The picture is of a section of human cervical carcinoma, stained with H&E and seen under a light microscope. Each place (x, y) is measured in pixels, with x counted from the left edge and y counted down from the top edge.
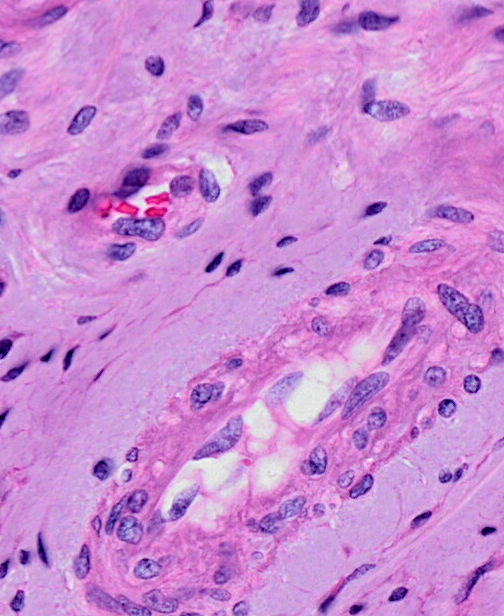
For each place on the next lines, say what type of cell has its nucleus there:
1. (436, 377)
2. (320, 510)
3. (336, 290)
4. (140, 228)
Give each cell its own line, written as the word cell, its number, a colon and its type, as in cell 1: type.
cell 1: smooth muscle cell
cell 2: smooth muscle cell
cell 3: smooth muscle cell
cell 4: endothelial cell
